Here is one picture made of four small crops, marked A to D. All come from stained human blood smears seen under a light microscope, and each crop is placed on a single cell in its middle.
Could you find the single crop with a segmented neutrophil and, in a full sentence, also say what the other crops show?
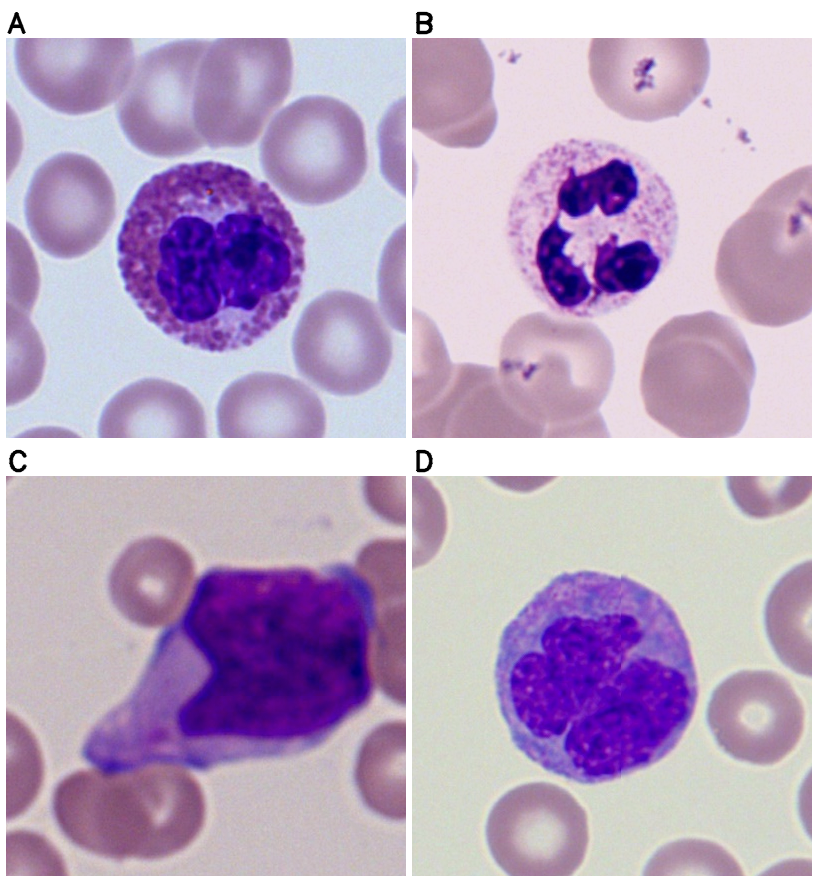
Crop B holds a segmented neutrophil at its centre, while crop A is an eosinophil, crop C is a myeloblast and crop D is a monocyte.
